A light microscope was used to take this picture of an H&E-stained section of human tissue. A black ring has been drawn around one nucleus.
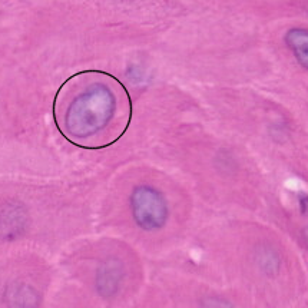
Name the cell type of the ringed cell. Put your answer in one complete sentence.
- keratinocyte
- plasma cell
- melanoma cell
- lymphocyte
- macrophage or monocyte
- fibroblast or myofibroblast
In the context of this tissue, the ringed cell is a keratinocyte.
